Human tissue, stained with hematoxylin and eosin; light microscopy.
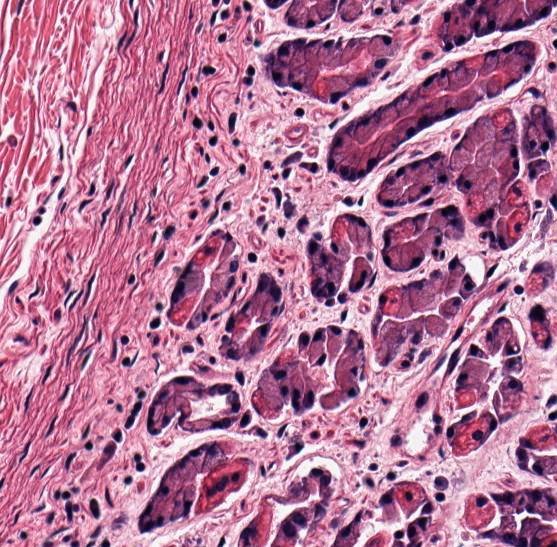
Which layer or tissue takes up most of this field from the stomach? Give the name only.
fundic glands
